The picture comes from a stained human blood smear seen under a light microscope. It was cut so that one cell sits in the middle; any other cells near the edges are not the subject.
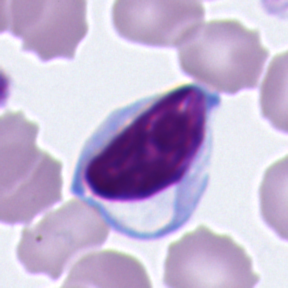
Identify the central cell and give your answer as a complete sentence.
In the center of this field lies a typical lymphocyte.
